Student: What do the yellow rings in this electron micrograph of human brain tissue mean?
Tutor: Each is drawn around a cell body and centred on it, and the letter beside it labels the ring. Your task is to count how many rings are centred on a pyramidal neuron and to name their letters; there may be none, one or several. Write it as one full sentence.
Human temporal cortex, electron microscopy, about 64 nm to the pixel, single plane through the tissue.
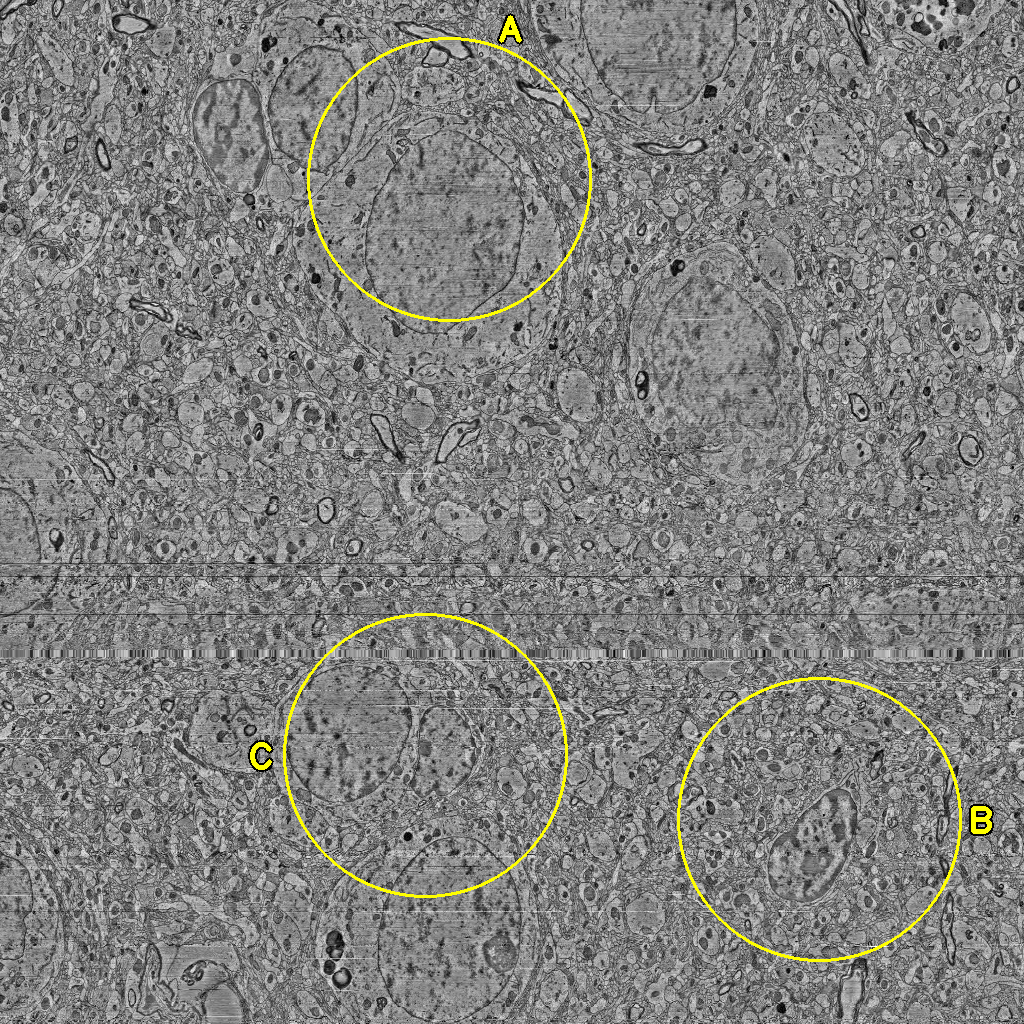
One ring alone is centred on a pyramidal neuron, and the letter by that ring is A.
